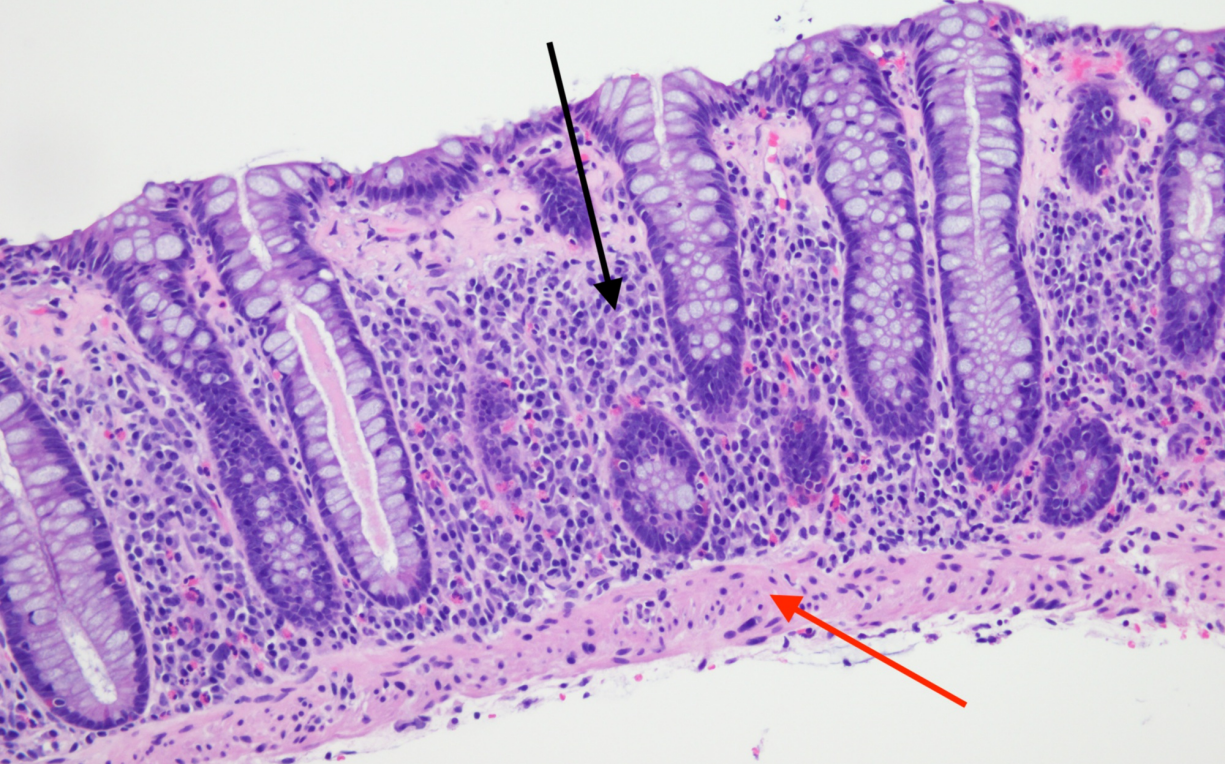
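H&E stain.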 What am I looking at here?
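This is colonic mucosa with straight, evenly spaced crypts lined by epithelium full of pale goblet cells. The lamina propria between the crypts is crowded with small dark round nuclei of inflammatory cells. A smooth pink layer poor in cells runs along the bottom beneath the crypt bases.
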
